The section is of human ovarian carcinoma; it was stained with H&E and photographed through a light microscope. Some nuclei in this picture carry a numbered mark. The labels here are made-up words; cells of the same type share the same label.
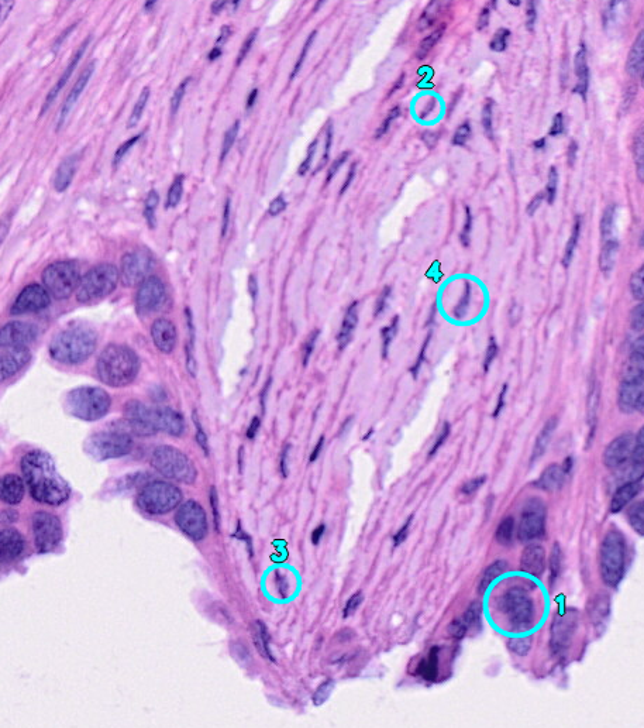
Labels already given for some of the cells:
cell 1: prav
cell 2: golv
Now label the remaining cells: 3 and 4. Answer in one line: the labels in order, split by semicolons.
golv; golv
